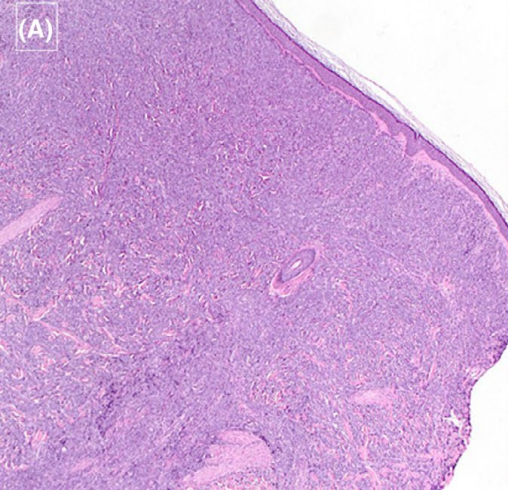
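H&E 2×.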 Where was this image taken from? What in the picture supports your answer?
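Dermis. A dense, diffuse sheet of cells fills the whole field beneath the surface epithelium. The thin surface epithelium is not infiltrated by the sheet of cells. A hair follicle is embedded within the cellular sheet.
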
